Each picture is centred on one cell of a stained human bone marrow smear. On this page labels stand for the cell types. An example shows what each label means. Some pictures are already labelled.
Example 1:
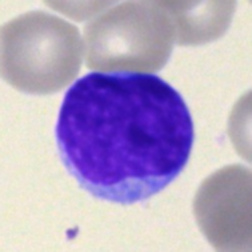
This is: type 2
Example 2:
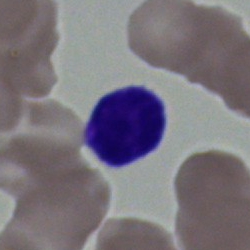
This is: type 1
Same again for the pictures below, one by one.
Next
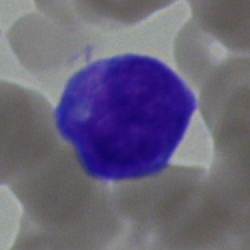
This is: type 2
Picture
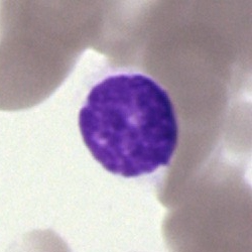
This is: type 1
